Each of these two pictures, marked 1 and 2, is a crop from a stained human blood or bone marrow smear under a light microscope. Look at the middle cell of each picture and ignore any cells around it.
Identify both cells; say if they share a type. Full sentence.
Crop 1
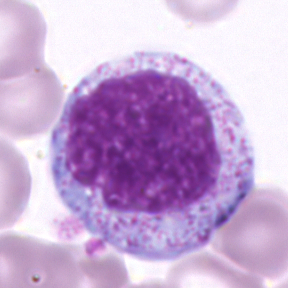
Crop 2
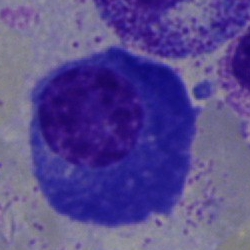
No, crop 1 holds a promyelocyte, and a plasma cell occupies crop 2.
